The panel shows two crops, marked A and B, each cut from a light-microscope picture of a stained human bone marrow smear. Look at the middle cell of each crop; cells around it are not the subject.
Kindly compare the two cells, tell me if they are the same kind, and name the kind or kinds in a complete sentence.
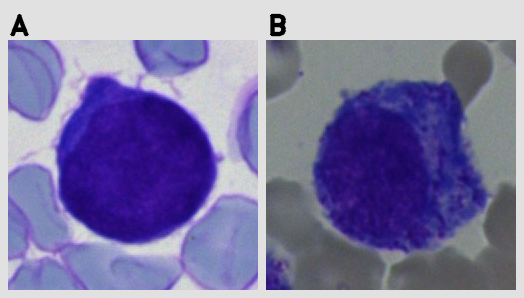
No, it is crop A that shows a blast, and crop B shows a promyelocyte.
